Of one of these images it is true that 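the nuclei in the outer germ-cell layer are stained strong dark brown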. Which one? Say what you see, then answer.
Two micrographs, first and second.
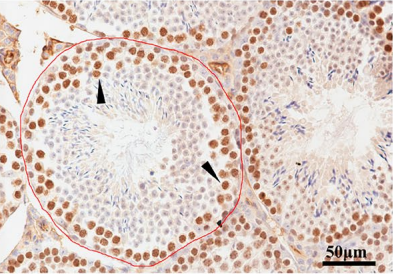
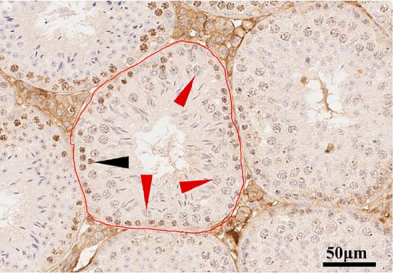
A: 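First image: a band of nuclei near the tubule wall is intensely dark brown. That points to this answer: the first image.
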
